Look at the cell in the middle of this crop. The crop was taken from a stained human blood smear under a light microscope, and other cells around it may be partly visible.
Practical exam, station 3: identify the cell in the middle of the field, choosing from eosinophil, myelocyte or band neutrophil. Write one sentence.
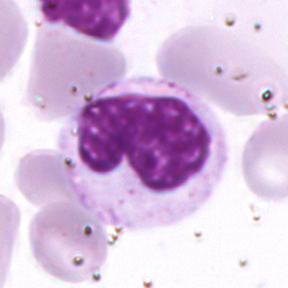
The centered cell in this crop is a band neutrophil.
